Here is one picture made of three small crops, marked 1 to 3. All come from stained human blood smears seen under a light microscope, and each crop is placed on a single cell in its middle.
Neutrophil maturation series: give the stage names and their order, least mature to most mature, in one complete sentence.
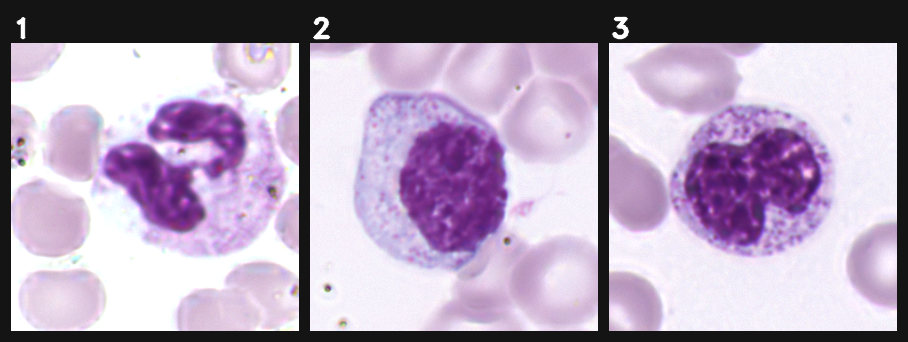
In sequence of increasing maturity, the order is crop 2 (a myelocyte), crop 3 (a metamyelocyte) and crop 1 (a segmented neutrophil).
